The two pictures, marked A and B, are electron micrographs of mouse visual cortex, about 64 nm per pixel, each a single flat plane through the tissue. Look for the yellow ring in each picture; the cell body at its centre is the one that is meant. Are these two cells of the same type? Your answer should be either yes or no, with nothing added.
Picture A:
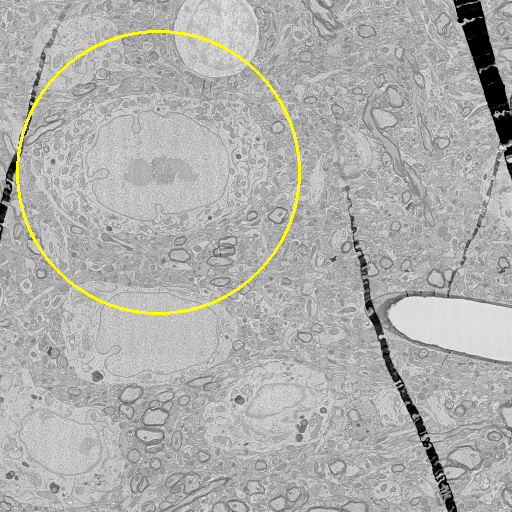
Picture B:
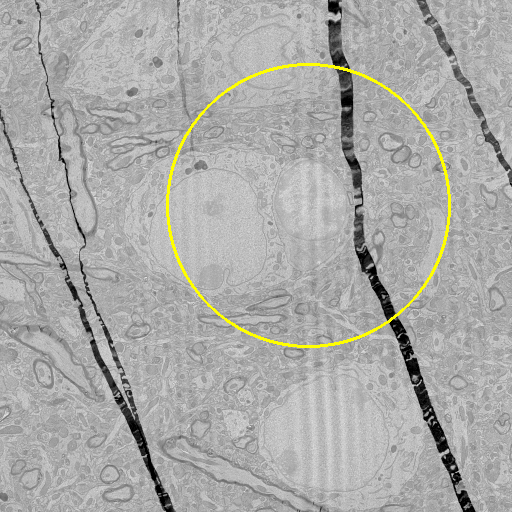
no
